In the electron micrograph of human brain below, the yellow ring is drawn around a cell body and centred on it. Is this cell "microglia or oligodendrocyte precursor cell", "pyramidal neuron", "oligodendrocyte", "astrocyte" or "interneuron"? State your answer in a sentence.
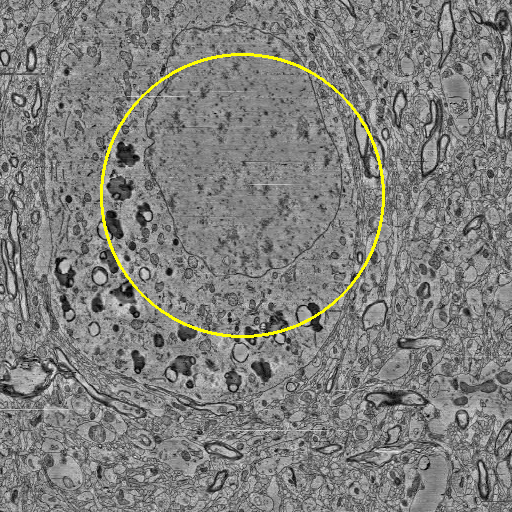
The cell in the middle of the ring is a pyramidal neuron.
